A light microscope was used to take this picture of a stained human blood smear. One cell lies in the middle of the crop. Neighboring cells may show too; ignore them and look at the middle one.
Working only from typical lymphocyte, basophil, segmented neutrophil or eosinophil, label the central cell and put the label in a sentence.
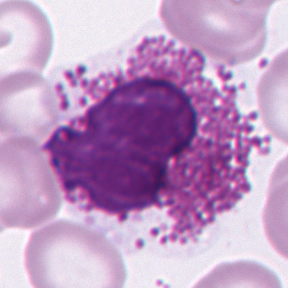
The cell positioned in the middle of the field is an eosinophil.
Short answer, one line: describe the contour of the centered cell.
The contour of the cell is interrupted by ragged areas or by projections.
